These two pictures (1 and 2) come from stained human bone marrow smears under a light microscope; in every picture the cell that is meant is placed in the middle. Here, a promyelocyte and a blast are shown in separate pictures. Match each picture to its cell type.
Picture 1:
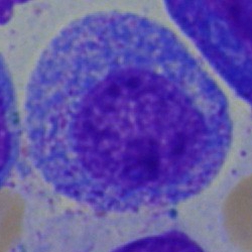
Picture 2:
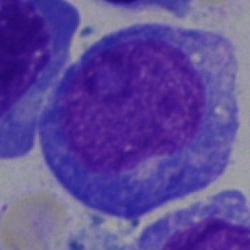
1: promyelocyte
2: blast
